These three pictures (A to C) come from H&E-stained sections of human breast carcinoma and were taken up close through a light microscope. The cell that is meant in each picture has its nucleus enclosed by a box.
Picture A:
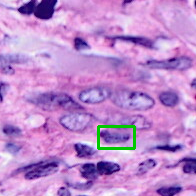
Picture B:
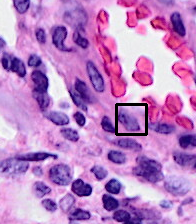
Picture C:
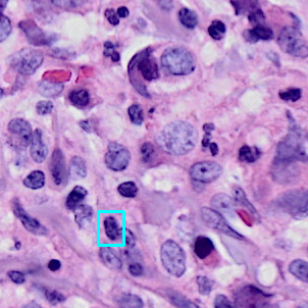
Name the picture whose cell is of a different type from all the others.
C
